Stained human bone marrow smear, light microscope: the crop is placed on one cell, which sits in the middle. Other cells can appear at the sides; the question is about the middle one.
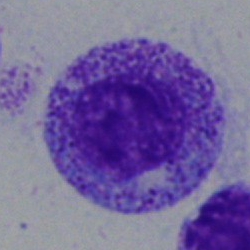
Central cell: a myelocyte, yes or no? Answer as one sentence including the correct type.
Yes, the centred cell is categorised as a myelocyte.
